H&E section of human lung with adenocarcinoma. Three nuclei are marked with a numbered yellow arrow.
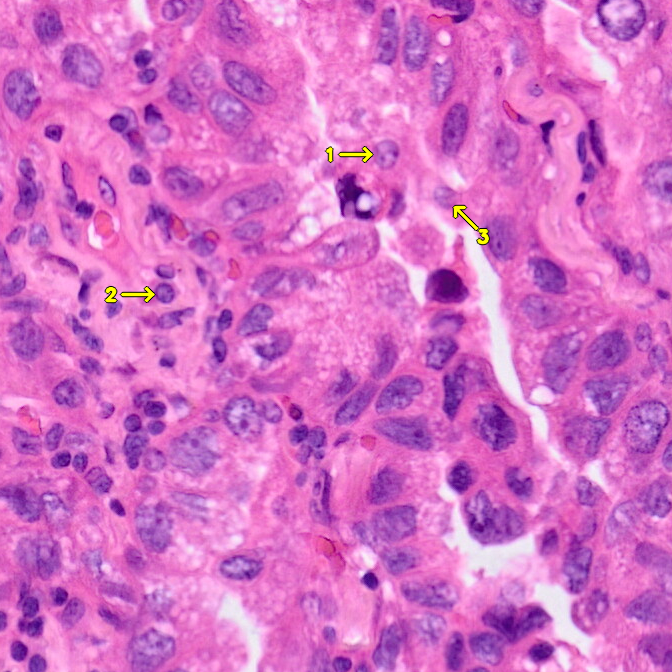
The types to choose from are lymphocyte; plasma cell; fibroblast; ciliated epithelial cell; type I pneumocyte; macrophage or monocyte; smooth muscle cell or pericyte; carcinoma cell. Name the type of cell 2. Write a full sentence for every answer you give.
The cell that goes by number 2 is a plasma cell.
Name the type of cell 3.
The expected answer is that cell 3 is a macrophage or monocyte.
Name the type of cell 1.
Cell number 1 in this section is a macrophage or monocyte.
